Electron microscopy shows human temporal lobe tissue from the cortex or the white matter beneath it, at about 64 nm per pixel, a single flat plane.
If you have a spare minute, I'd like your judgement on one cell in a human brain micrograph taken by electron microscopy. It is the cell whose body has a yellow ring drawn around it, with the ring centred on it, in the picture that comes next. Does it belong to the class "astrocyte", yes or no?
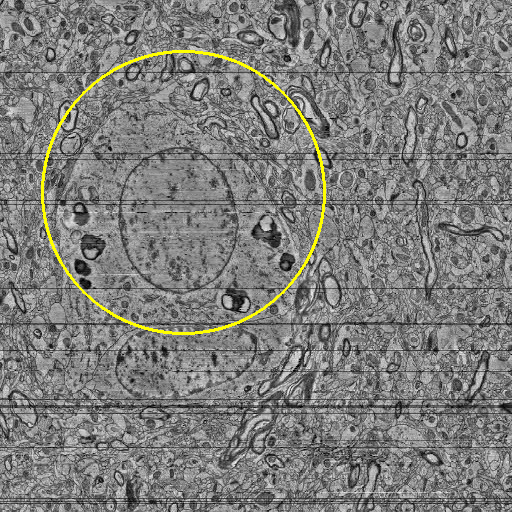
No, it belongs to another class.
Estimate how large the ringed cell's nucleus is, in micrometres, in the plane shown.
The nucleus works out at approximately 10 by 8 micrometres in this plane.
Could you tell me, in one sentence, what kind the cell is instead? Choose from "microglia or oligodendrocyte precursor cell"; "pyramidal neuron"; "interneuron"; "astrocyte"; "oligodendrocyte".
The cell that the ring is centred on is a pyramidal neuron.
